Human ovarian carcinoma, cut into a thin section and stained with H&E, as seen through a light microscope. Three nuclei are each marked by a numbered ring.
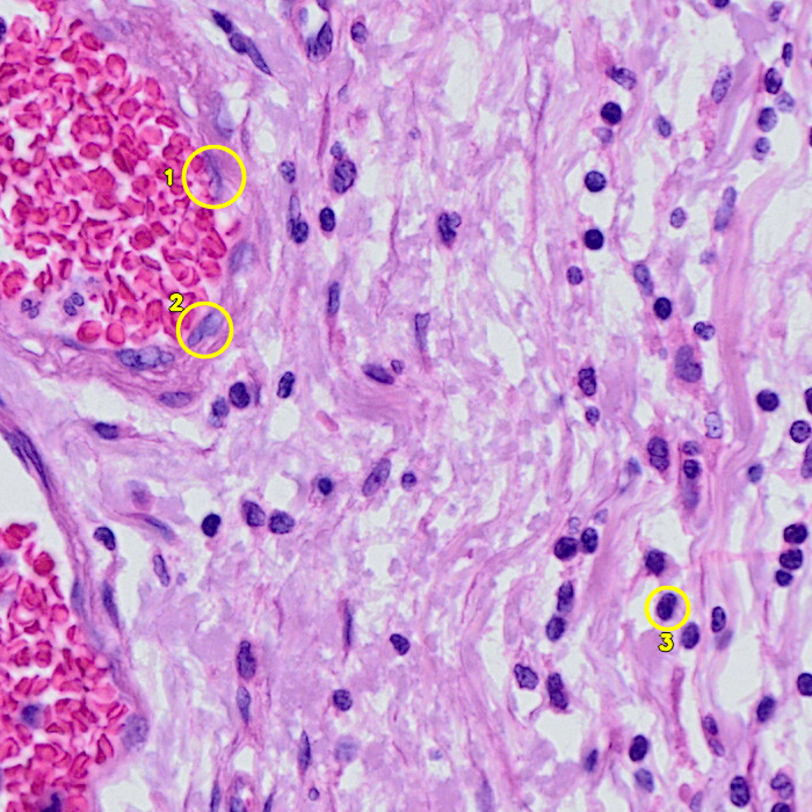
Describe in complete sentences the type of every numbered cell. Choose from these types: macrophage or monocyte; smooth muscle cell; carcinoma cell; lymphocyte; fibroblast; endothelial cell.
Cell 1 is an endothelial cell, cell 2 is an endothelial cell and cell 3 is a lymphocyte.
